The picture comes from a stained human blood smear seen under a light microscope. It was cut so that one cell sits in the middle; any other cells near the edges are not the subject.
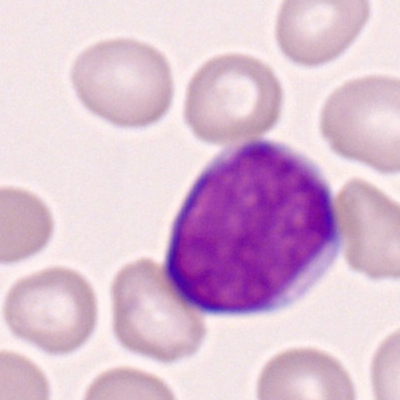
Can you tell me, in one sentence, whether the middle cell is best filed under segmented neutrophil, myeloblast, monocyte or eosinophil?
By classification, the middle cell of this crop is a myeloblast.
